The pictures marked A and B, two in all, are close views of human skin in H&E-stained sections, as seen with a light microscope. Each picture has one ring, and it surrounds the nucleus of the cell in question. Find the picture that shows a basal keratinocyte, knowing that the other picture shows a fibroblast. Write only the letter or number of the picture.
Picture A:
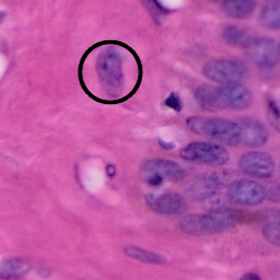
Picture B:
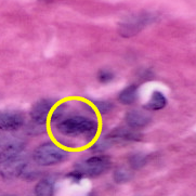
B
